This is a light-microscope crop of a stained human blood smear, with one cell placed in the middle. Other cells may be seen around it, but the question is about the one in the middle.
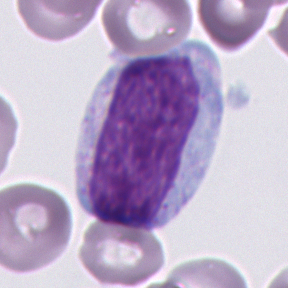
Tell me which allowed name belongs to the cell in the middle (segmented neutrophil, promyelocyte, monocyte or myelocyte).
myelocyte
